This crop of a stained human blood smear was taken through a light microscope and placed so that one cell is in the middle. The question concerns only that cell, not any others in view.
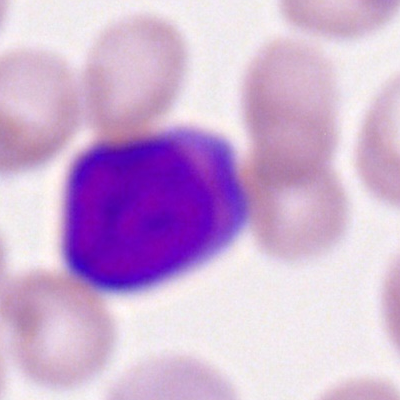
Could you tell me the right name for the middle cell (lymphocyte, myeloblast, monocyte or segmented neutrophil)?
myeloblast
